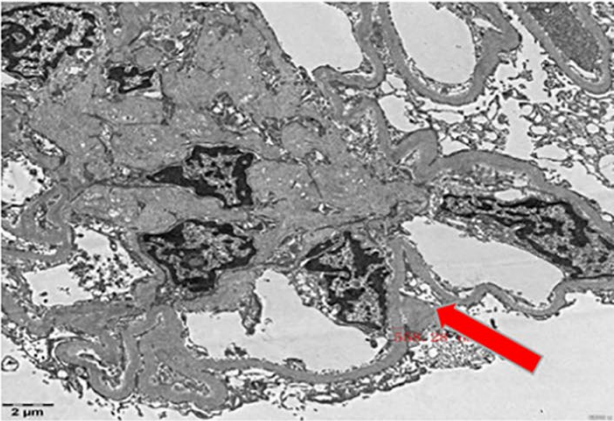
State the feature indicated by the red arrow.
hump-like electron-dense deposit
